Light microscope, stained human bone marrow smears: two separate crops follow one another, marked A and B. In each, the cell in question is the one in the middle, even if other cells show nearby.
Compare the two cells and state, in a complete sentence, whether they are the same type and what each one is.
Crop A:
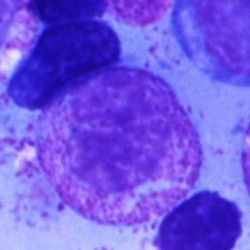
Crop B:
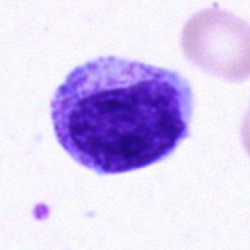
Yes, the same answer goes for both crops, namely myelocytes.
